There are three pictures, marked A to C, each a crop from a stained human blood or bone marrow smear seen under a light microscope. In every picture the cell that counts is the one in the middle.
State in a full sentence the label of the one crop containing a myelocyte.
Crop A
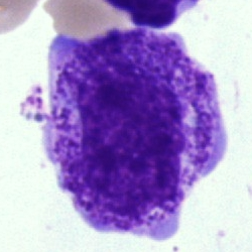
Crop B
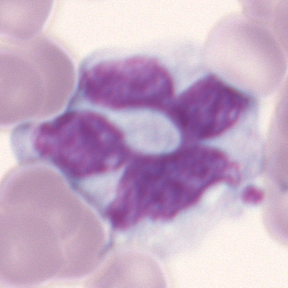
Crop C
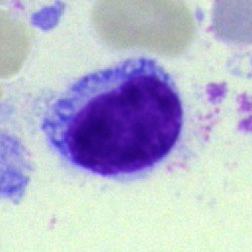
Of the crops given, a myelocyte is found in crop A.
